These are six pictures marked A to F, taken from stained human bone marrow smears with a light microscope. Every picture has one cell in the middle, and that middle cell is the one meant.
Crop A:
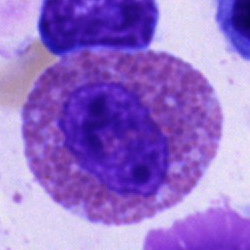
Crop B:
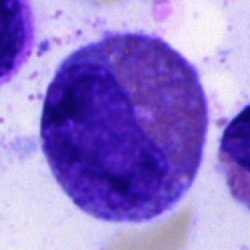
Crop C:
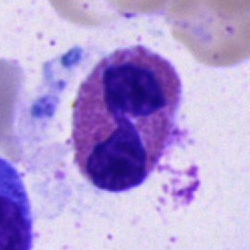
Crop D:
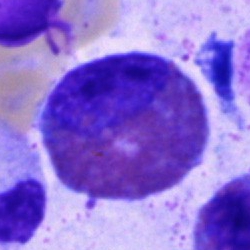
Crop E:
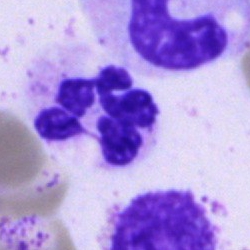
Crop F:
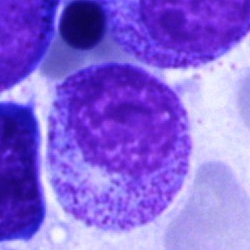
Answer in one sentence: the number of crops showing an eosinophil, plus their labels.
The crops that show eosinophils number four and are A, B, C and D.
